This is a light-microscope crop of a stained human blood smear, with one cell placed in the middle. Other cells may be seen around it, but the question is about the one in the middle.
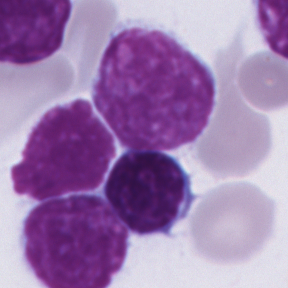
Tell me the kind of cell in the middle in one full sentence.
Centred in the crop is a myeloblast.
